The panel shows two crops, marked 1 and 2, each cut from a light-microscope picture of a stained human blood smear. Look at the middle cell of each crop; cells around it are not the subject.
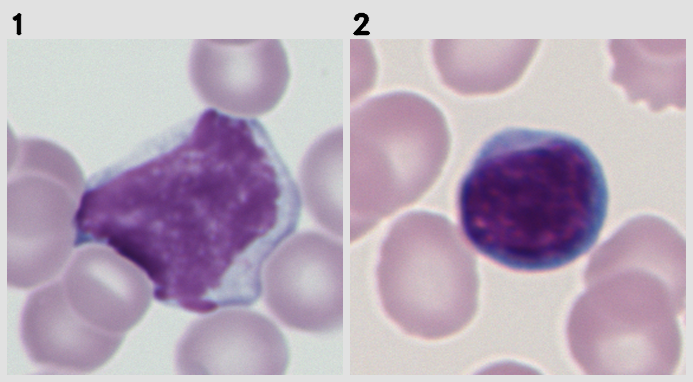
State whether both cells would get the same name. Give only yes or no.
yes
